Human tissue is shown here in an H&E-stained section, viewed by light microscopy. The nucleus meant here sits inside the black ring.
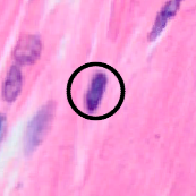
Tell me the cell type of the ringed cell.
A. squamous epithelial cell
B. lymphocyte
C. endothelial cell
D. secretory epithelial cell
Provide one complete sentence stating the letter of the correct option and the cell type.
Option B describes the ringed cell accurately as a lymphocyte.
